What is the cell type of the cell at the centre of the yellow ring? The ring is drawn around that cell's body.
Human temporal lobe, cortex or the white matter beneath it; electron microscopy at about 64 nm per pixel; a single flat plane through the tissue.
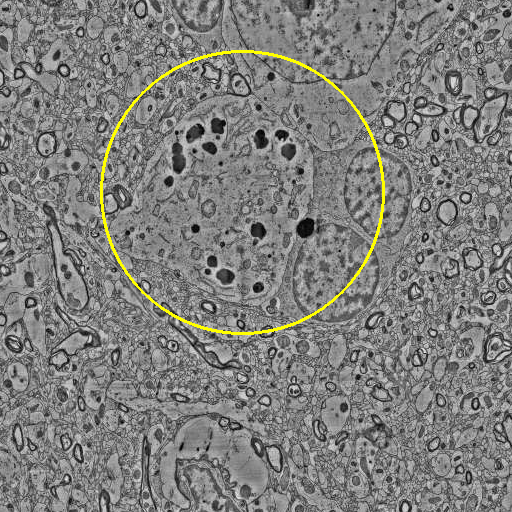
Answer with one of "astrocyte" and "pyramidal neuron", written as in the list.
pyramidal neuron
